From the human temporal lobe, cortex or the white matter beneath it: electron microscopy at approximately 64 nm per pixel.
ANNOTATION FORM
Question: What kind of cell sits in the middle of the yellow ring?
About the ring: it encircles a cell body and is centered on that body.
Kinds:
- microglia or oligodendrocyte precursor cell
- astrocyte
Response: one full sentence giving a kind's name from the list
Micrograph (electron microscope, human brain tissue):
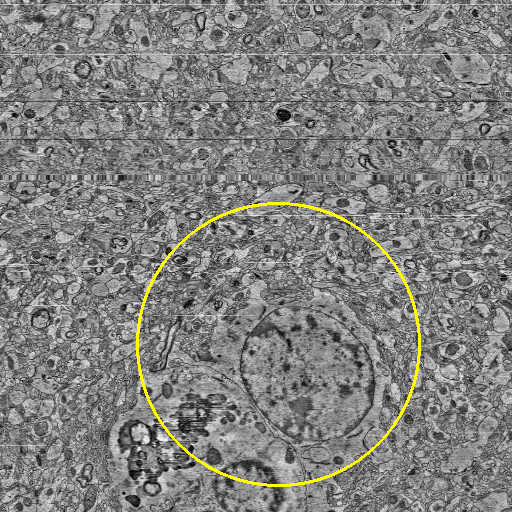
The kind of cell found at the center of the yellow ring in the micrograph is an astrocyte.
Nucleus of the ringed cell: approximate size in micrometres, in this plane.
About 10 micrometres by about 8 micrometres in this plane.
